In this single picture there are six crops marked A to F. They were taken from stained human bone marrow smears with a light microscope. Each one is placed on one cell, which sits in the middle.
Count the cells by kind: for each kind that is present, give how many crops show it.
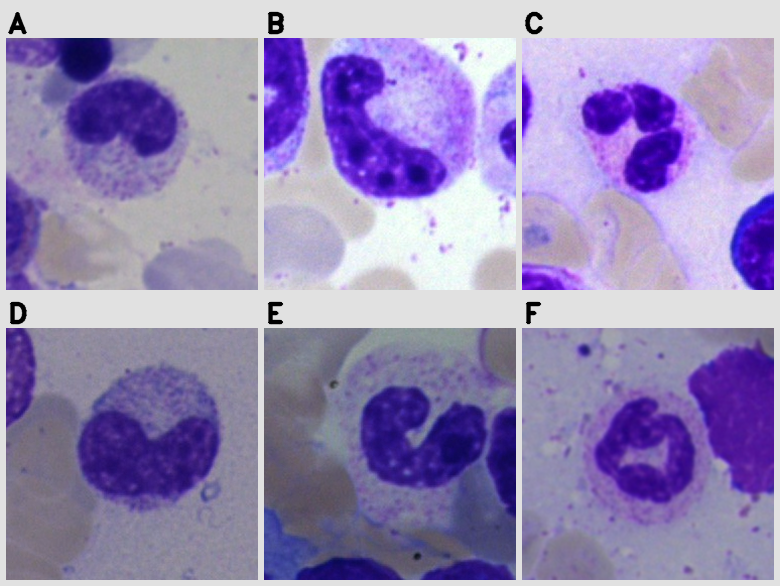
band neutrophil: 4
segmented neutrophil: 2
